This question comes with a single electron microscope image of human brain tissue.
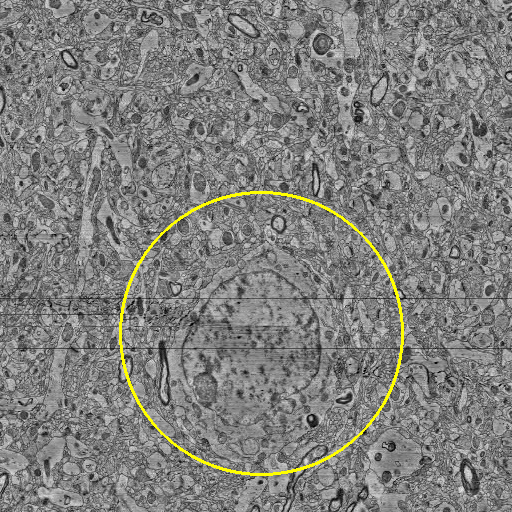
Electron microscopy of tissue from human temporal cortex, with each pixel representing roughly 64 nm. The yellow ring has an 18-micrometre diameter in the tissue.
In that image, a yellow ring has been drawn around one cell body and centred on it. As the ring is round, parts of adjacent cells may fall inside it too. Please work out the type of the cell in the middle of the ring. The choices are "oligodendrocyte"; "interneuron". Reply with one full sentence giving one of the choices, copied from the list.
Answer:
Of the choices, an interneuron is the cell sitting in the middle of the ring.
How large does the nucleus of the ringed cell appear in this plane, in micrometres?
In this plane, roughly 11 by 9 micrometres.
